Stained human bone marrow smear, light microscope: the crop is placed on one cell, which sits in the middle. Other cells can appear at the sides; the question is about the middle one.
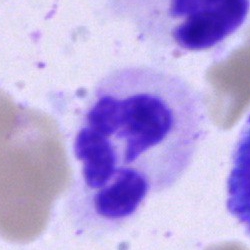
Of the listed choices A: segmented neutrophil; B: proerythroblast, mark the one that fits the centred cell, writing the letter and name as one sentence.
Option A holds up: the cell in the middle is a segmented neutrophil.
